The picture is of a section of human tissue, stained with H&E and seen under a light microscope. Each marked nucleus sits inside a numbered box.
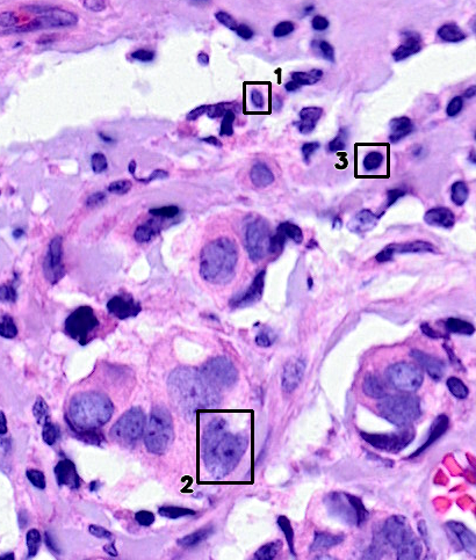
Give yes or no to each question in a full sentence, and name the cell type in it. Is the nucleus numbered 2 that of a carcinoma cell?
Yes, the cell with number 2 is a carcinoma cell.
